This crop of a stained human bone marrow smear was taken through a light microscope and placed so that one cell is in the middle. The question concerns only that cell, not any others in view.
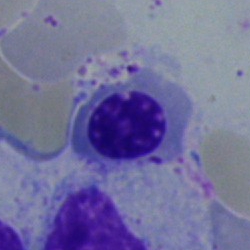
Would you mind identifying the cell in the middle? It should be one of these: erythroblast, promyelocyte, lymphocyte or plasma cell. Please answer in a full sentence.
Present in the middle of the crop is an erythroblast.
